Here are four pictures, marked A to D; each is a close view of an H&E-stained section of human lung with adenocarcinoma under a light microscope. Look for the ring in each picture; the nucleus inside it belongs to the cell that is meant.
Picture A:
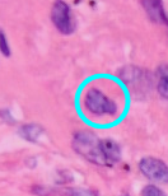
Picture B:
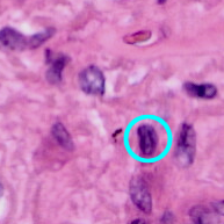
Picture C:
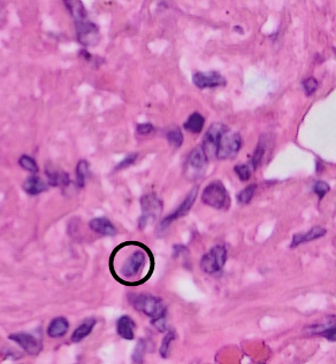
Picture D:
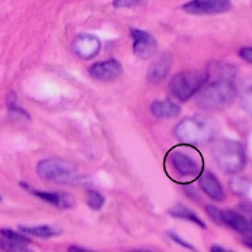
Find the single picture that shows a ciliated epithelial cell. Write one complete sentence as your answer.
The cell in picture D is the ciliated epithelial cell.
